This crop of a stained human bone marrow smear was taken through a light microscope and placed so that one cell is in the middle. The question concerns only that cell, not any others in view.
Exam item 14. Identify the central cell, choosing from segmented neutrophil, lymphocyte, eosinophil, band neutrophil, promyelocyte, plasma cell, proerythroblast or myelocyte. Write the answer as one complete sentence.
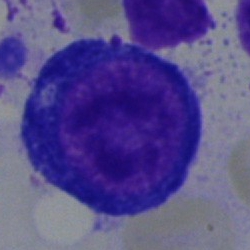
For this crop, the cell in the middle is a proerythroblast.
